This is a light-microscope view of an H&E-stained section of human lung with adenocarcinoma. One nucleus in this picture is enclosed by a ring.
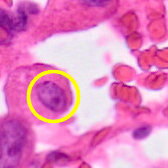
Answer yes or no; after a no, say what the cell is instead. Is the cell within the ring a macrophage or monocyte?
Yes.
